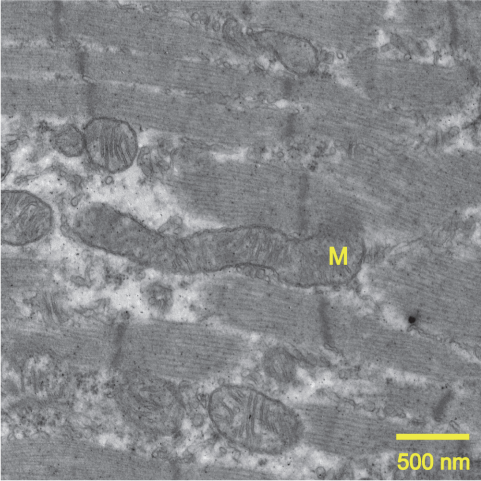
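Skeletal muscle fibre at high magnification showing myofibrils and mitochondria. Myofibrils show fine parallel longitudinal myofilaments crossed by dark Z lines. An elongated mitochondrion with dense transverse cristae lies lengthwise between two myofibrils; several round to oval mitochondria are scattered in the field without a regular relation to the Z lines. Between myofibrils there are wide pale, empty-looking areas of sarcoplasm containing fine granular material and small vesicles, separating the myofibrils more than usual.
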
